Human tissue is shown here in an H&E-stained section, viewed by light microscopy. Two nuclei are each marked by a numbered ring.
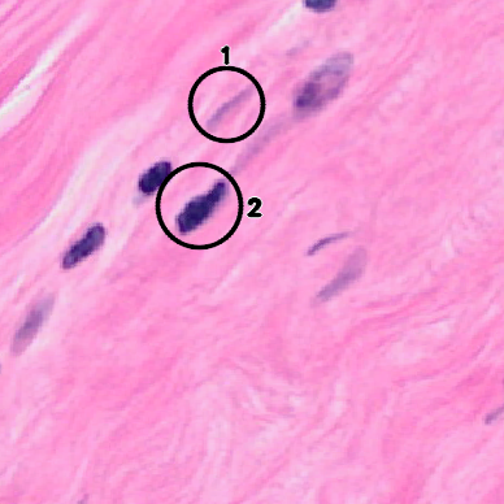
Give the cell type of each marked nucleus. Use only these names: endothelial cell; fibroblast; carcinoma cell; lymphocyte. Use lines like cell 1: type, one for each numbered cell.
cell 1: fibroblast
cell 2: lymphocyte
